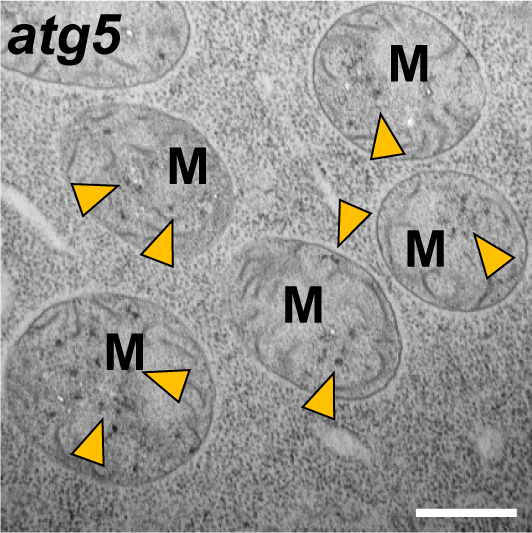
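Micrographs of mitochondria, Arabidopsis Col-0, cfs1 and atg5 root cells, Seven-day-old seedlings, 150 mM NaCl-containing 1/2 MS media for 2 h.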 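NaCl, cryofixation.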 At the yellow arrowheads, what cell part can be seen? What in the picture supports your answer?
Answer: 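Electron dense precipitates. Dark speckles sit within the round double-membraned organelles at the arrowheads.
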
